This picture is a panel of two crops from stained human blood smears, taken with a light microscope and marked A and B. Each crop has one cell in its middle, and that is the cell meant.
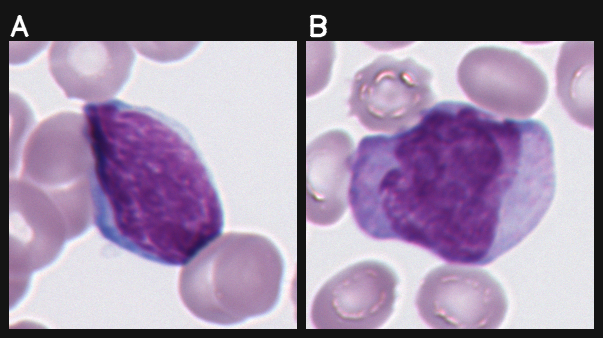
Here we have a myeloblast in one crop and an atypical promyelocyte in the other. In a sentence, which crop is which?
Taken crop by crop, crop A is a myeloblast and crop B is an atypical promyelocyte.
